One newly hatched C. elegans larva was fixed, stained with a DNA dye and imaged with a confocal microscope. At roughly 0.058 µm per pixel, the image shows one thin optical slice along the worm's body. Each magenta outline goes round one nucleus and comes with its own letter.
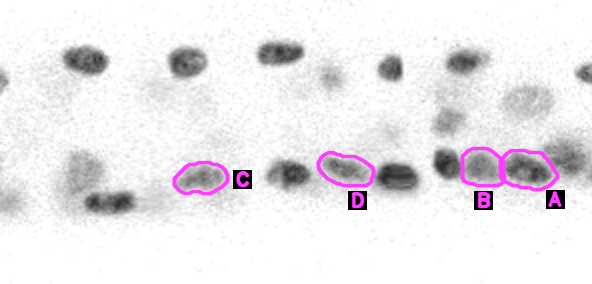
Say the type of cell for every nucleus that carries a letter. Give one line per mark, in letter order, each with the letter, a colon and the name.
A: germ line precursor
B: body wall muscle cell
C: body wall muscle cell
D: body wall muscle cell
